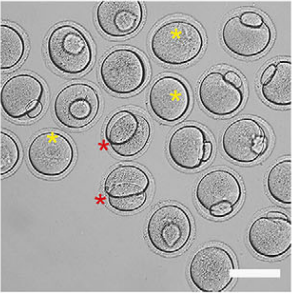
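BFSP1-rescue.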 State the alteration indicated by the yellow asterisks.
Oocytes that failed to extrude the first polar body.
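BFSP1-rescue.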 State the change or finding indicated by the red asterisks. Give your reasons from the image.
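The marked oocytes are divided into two halves of similar size within the zona. The answer: symmetric division.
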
